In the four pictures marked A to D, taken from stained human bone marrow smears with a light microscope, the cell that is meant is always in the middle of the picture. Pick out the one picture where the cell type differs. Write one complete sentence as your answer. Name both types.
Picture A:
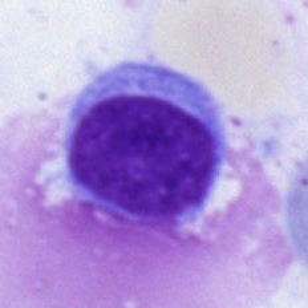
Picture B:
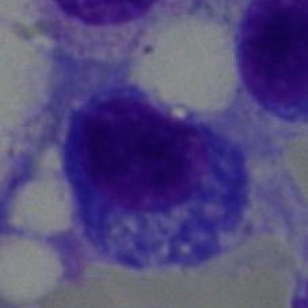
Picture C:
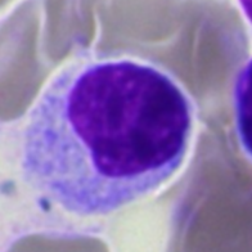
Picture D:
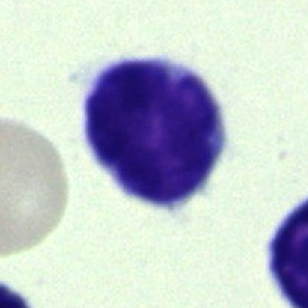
The different one is picture B; it shows a plasma cell, whereas all the others show lymphocytes.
